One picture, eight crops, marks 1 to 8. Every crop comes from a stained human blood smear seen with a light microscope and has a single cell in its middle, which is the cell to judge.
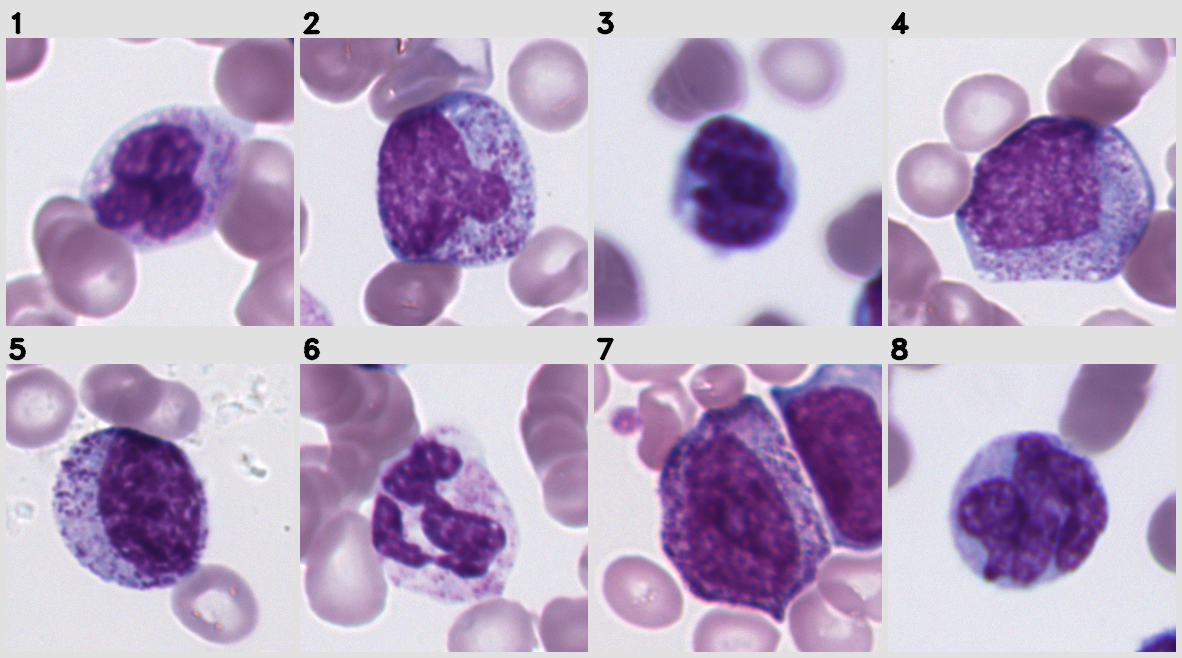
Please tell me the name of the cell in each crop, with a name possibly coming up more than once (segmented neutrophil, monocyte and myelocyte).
1: segmented neutrophil
2: myelocyte
3: monocyte
4: myelocyte
5: myelocyte
6: segmented neutrophil
7: myelocyte
8: monocyte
